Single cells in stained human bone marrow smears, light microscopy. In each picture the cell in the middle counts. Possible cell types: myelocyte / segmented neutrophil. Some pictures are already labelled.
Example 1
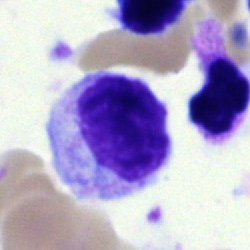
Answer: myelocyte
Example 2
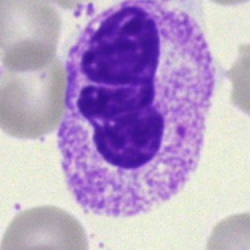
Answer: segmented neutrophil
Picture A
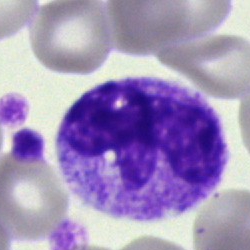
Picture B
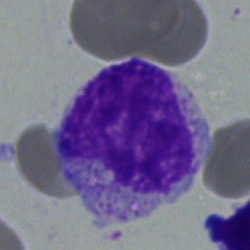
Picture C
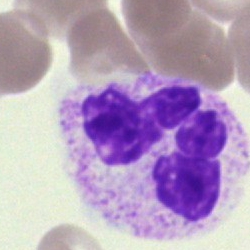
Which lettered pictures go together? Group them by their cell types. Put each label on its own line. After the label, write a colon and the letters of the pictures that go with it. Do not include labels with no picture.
myelocyte: B
segmented neutrophil: A, C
